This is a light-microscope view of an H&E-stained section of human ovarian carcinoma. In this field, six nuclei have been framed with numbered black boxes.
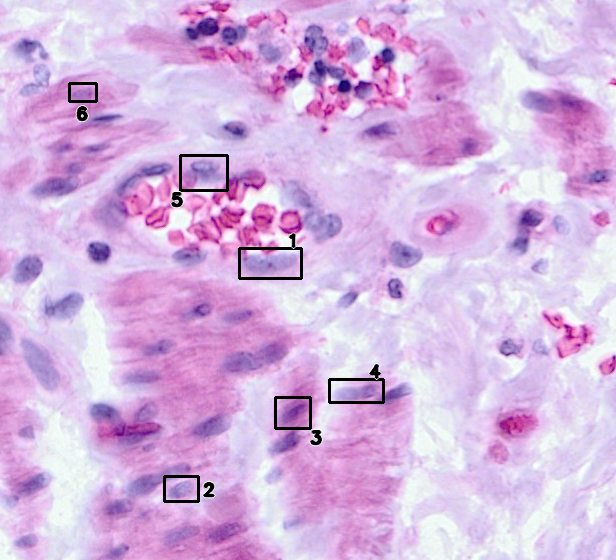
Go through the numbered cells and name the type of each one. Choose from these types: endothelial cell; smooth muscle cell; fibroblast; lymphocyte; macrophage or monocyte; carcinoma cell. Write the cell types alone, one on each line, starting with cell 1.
endothelial cell
smooth muscle cell
smooth muscle cell
smooth muscle cell
endothelial cell
smooth muscle cell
